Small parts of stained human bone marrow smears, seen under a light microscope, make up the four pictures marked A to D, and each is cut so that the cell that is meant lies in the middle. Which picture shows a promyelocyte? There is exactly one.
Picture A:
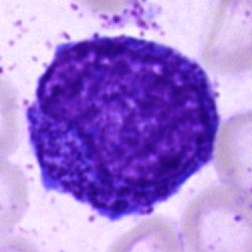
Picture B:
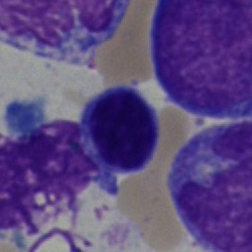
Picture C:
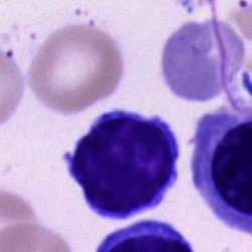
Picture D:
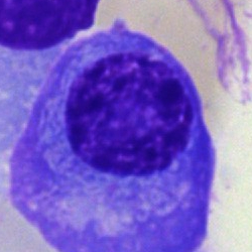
A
